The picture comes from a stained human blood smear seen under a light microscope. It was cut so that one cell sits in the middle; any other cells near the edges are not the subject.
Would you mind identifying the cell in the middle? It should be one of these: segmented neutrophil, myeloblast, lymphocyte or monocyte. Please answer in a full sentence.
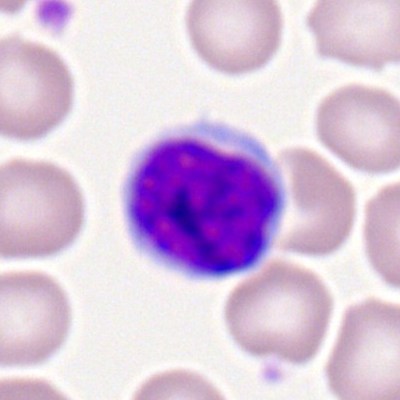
The cell featured at the centre of this crop is a lymphocyte.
